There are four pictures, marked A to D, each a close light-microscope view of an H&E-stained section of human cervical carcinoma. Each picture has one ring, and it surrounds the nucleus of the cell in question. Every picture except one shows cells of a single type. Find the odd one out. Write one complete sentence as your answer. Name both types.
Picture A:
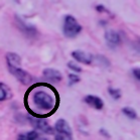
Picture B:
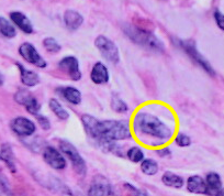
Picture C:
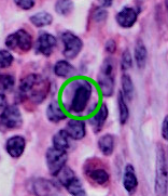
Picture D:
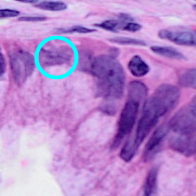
Picture D differs, because its cell is a secretory epithelial cell and the rest are lymphocytes.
